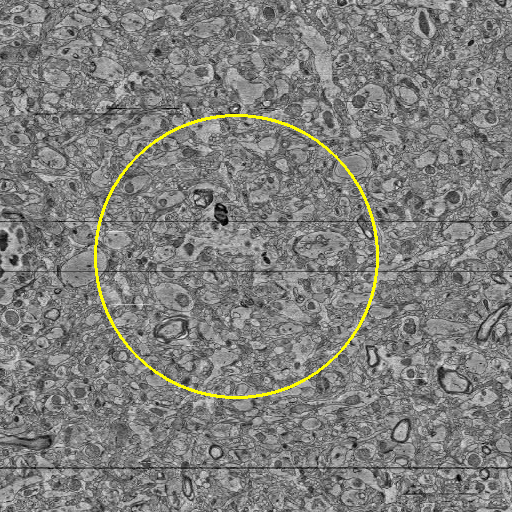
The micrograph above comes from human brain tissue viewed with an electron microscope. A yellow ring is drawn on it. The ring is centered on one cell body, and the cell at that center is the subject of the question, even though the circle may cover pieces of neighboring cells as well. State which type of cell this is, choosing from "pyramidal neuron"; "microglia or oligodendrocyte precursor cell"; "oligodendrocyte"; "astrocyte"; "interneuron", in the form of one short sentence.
The cell the ring is centered on is a microglial cell or oligodendrocyte precursor cell.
